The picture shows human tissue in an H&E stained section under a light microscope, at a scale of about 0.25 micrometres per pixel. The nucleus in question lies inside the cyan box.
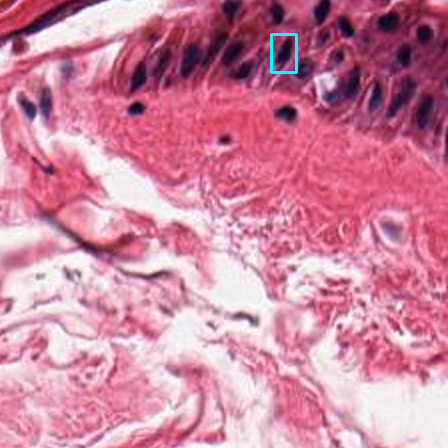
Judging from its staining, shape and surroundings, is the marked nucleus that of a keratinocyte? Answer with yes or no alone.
yes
